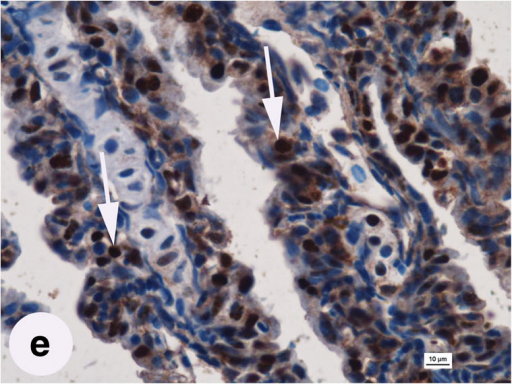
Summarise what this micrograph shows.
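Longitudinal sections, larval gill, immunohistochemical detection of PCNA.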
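The brown nuclei are rounded to oval and lie crowded along the lamellae, often side by side. Blue nuclei are frequently more elongated and flattened. Pale, lightly stained spaces lie between the lamellae.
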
